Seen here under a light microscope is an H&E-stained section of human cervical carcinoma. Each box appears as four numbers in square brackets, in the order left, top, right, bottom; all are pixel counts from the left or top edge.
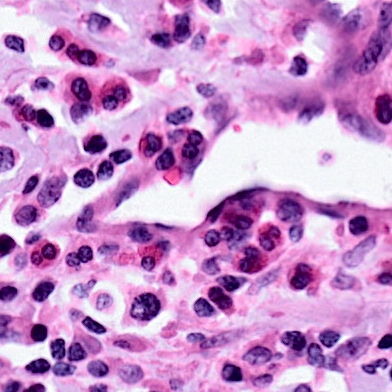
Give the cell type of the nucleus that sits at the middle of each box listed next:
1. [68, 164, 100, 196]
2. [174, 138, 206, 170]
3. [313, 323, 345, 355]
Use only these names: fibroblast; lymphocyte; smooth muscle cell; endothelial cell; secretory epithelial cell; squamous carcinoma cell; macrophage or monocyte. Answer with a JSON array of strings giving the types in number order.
["lymphocyte", "endothelial cell", "lymphocyte"]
